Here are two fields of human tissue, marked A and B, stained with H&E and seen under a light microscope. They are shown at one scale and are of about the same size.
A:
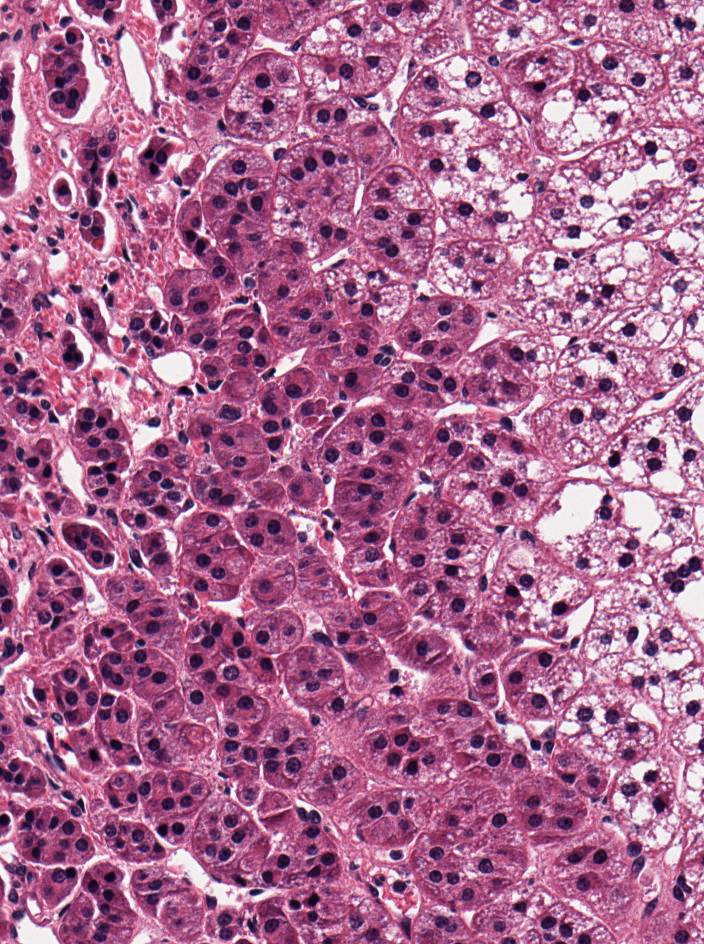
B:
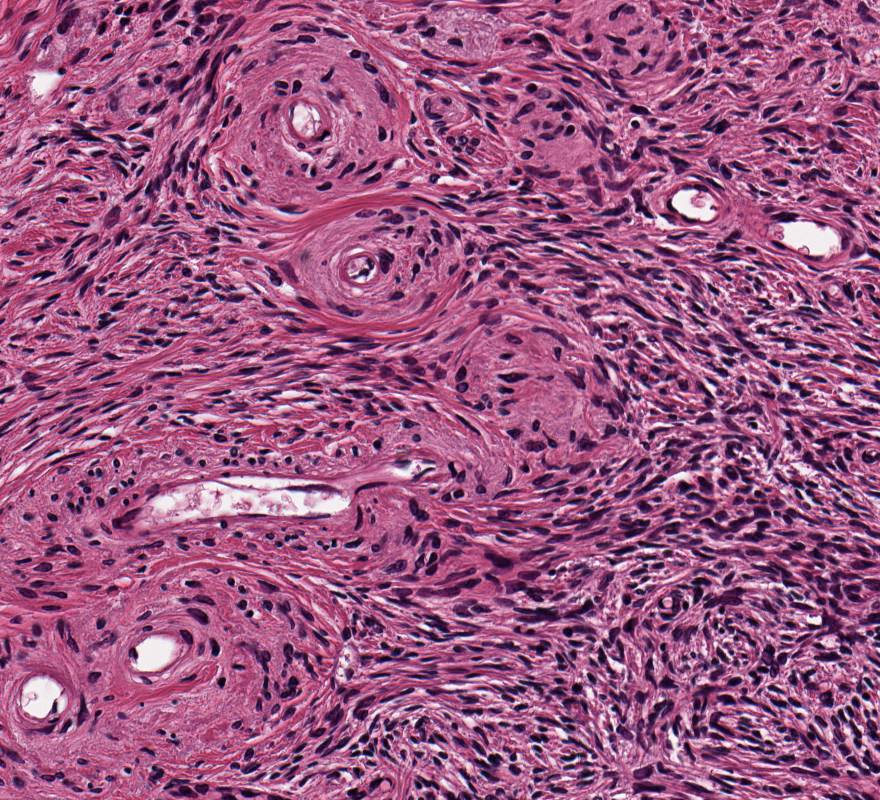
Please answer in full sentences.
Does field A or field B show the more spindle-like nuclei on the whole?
The nuclei are more elongated in field B.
